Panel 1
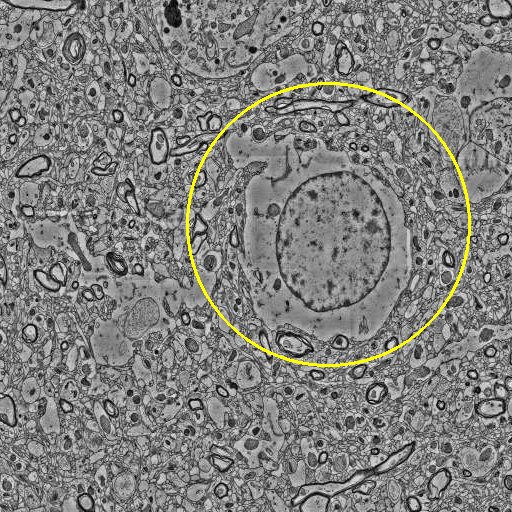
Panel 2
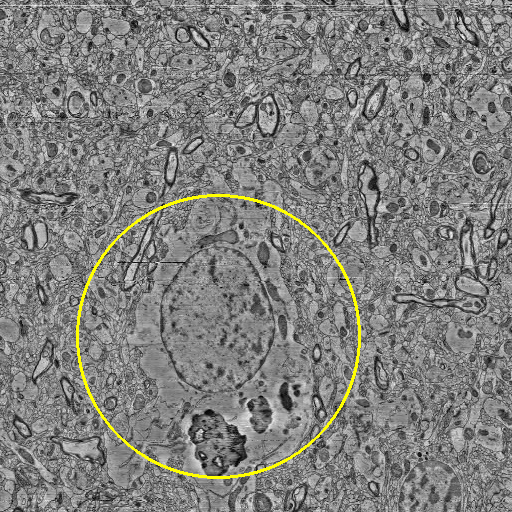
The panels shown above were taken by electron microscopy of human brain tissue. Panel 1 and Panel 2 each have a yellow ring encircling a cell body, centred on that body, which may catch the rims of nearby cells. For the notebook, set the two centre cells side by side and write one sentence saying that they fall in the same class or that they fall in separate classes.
The centred cells of Panel 1 and Panel 2 fall in the same class.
